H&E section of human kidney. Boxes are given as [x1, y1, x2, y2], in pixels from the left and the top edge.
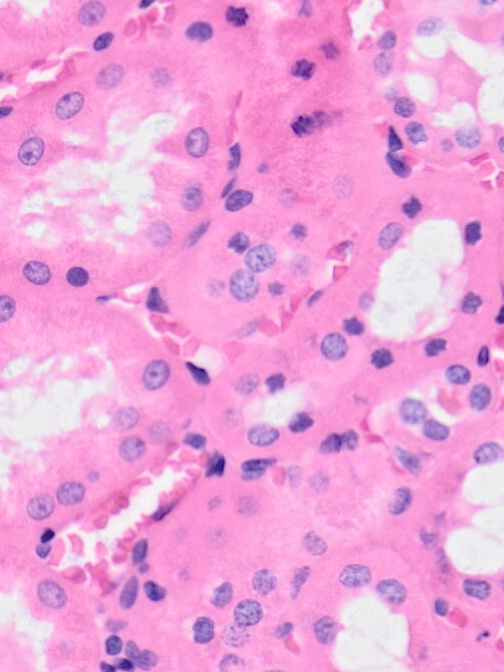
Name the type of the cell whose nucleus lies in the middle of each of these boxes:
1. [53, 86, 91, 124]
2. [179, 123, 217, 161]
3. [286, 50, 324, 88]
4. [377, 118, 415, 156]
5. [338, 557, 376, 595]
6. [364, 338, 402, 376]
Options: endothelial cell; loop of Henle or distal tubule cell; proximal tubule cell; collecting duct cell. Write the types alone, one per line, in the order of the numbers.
proximal tubule cell
proximal tubule cell
proximal tubule cell
endothelial cell
loop of Henle or distal tubule cell
loop of Henle or distal tubule cell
